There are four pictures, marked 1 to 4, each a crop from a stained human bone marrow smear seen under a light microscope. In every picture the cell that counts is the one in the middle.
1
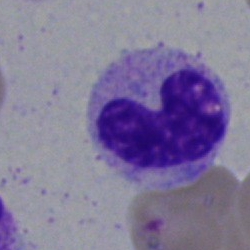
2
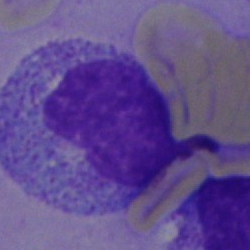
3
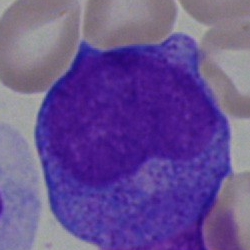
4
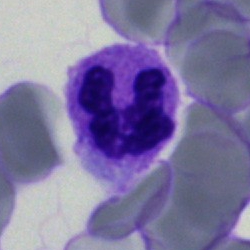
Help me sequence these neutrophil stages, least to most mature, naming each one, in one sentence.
The sequence of maturation runs crop 3 (a promyelocyte), crop 2 (a myelocyte), crop 1 (a band neutrophil) and crop 4 (a segmented neutrophil), from least to most mature.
